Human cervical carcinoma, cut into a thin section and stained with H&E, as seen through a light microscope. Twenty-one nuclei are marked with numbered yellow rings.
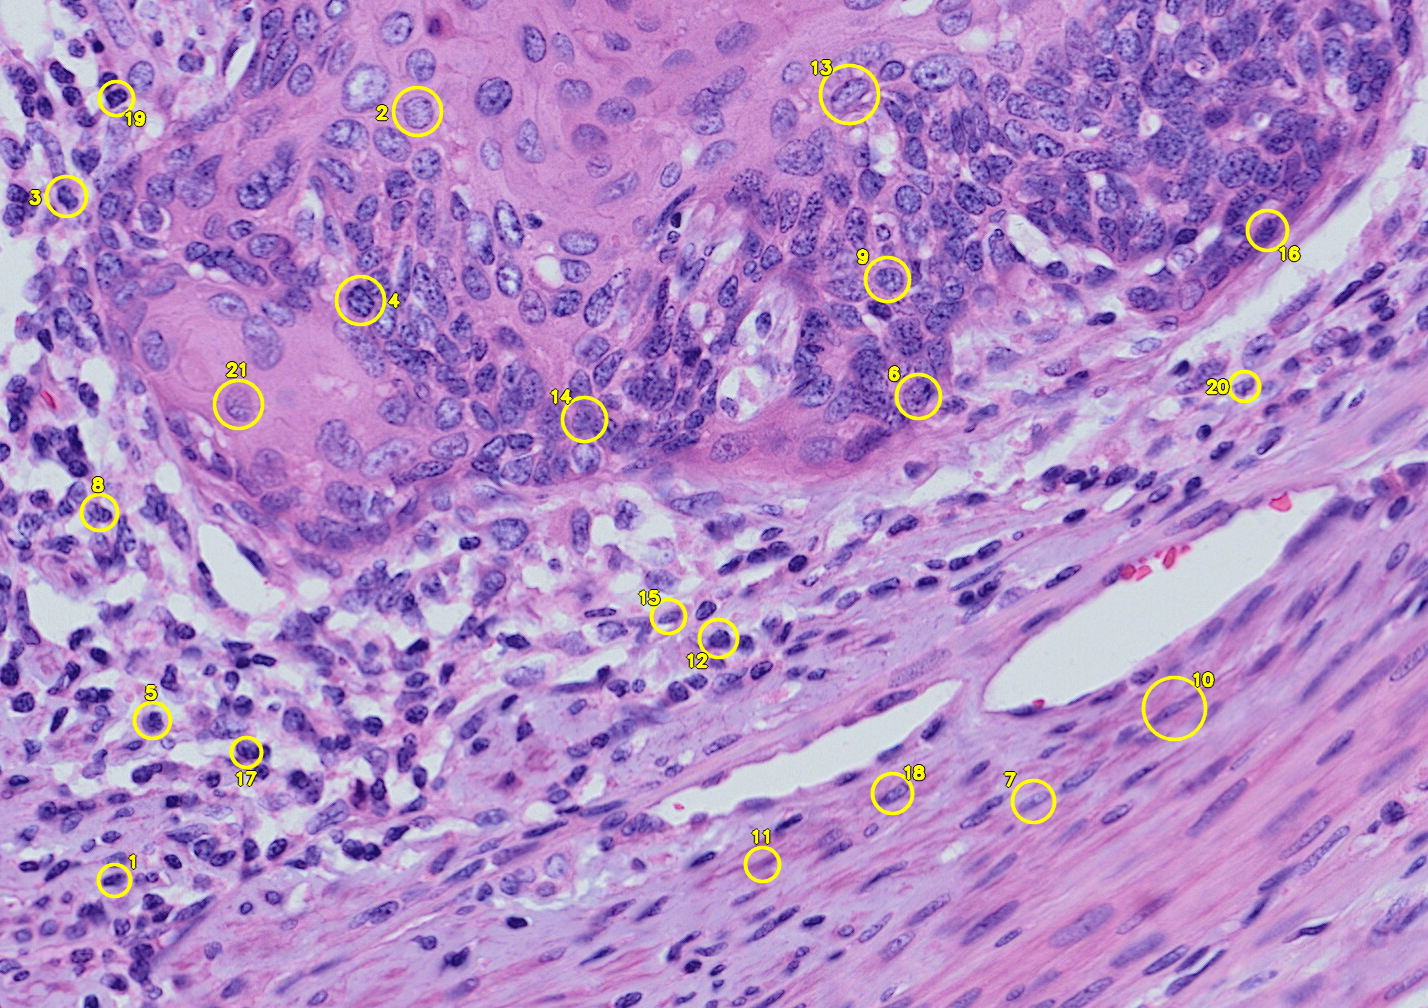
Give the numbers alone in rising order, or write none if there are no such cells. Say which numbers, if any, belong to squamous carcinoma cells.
2, 4, 6, 9, 13, 14, 16, 21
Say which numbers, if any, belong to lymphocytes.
1, 3, 5, 8, 12, 15, 17, 19, 20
